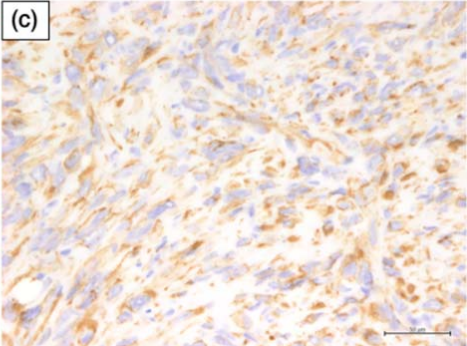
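This is a sheet of tumor cells in which many cells show brown staining of the cytoplasm against blue-counterstained nuclei. The brown stain varies from faint to moderate from cell to cell. It lies around and beside the nuclei and leaves the nuclei themselves blue. The cells are elongated to polygonal and lie closely packed in a loose, streaming arrangement, with small clear spaces between groups.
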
